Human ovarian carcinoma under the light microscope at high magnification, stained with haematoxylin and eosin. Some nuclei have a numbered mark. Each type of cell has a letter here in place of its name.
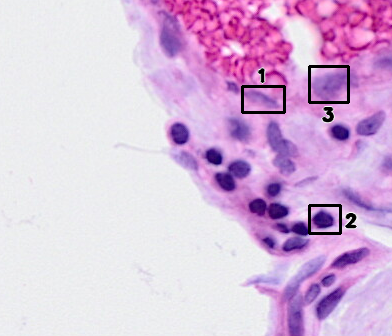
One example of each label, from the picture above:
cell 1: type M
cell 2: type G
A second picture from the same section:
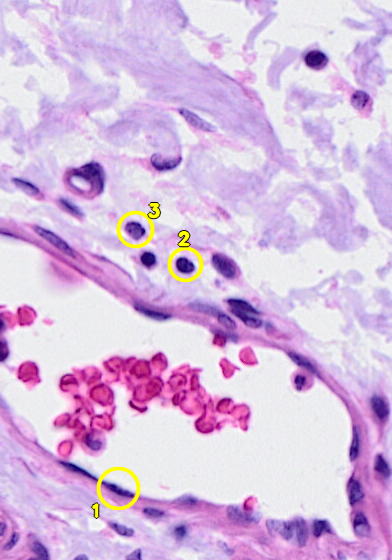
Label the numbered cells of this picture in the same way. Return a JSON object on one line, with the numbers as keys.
{"1": "type M", "2": "type G", "3": "type G"}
